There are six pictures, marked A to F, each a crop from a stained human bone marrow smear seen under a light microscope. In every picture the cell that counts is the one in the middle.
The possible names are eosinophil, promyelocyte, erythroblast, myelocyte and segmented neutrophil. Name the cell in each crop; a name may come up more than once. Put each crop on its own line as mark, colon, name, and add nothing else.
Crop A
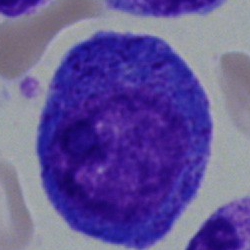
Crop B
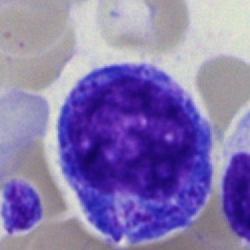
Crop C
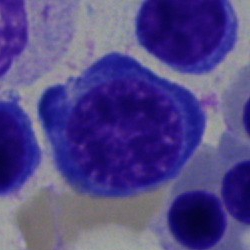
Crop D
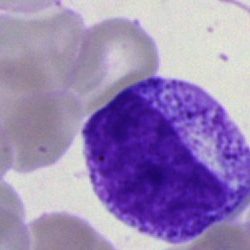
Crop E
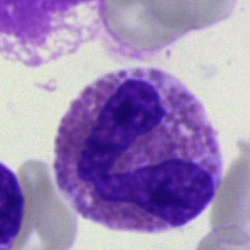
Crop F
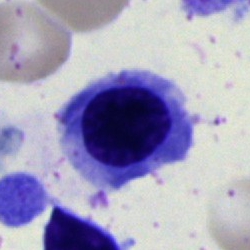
A: promyelocyte
B: promyelocyte
C: erythroblast
D: myelocyte
E: eosinophil
F: erythroblast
